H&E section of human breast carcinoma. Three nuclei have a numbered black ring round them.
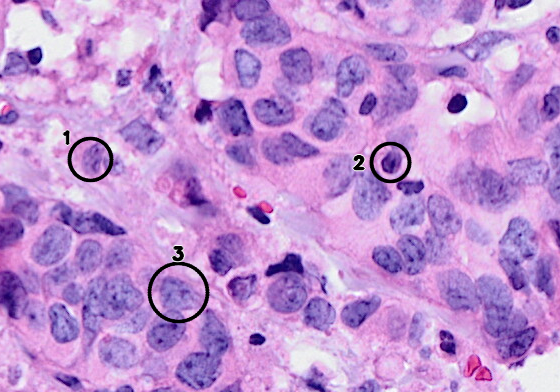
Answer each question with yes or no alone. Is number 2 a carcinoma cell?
no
